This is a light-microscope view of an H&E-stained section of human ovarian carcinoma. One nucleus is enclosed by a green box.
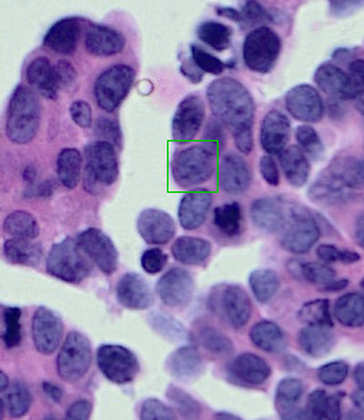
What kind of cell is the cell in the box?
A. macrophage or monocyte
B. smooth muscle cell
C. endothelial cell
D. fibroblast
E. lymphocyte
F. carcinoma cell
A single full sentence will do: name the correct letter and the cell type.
The correct response is option F: the cell in the box is a carcinoma cell.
